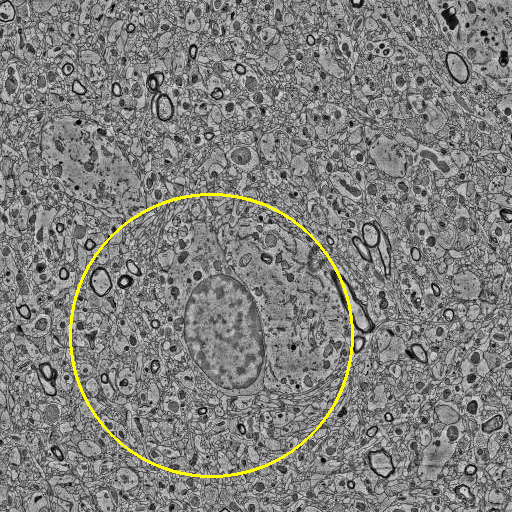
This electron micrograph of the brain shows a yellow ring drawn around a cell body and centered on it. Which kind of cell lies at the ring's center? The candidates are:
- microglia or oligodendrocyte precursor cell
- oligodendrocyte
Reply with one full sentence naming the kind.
The cell lying at the ring's center in this micrograph is an oligodendrocyte.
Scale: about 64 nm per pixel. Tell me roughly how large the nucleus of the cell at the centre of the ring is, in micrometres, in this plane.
In this plane, approximately 7 by 5 micrometers.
